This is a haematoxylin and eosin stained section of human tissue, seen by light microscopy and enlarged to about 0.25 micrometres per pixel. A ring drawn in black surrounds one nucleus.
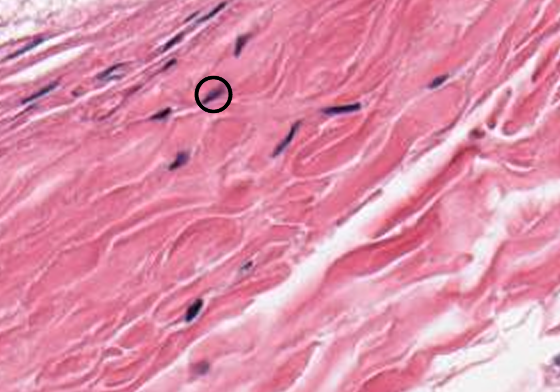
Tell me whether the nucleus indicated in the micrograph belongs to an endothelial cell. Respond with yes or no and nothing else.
no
